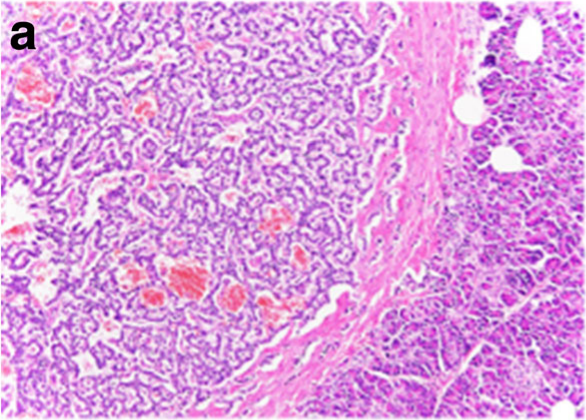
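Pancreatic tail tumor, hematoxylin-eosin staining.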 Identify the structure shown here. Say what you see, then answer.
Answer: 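Tumor cells form narrow, winding cords and ribbons. Thin strands of stroma with red blood cells lie between the cords. The cellular area is separated from adjacent tissue by a pink fibrous band.
Conclusion: trabecular and ribbon-like growth patterns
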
